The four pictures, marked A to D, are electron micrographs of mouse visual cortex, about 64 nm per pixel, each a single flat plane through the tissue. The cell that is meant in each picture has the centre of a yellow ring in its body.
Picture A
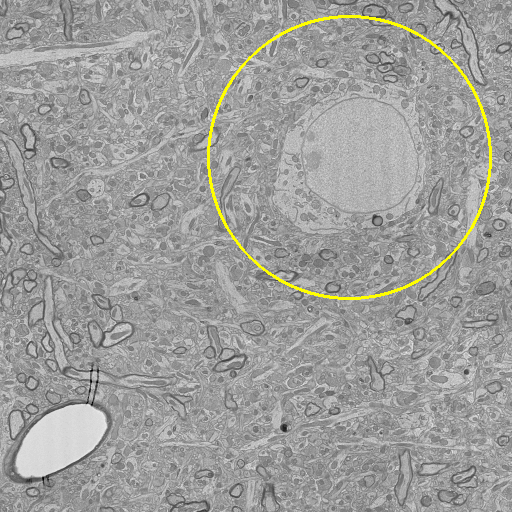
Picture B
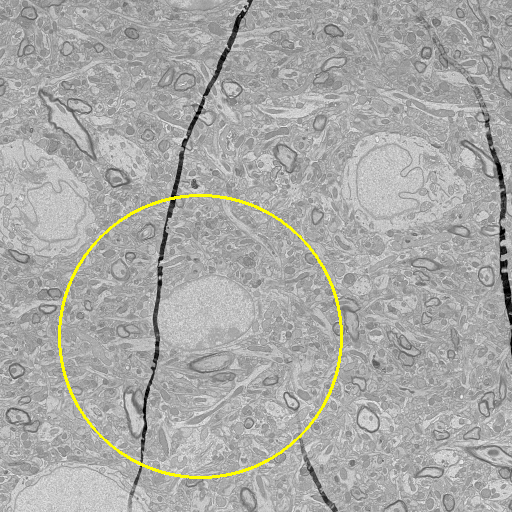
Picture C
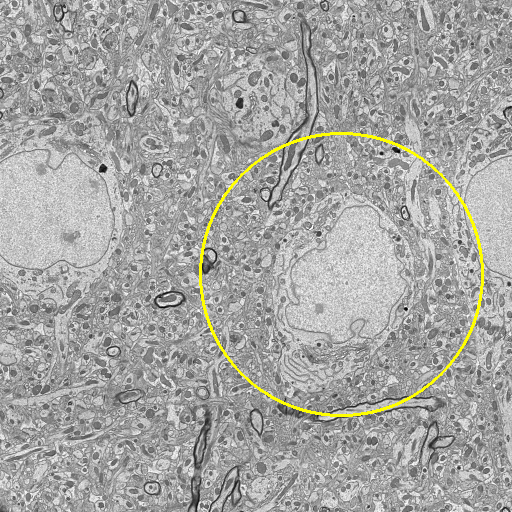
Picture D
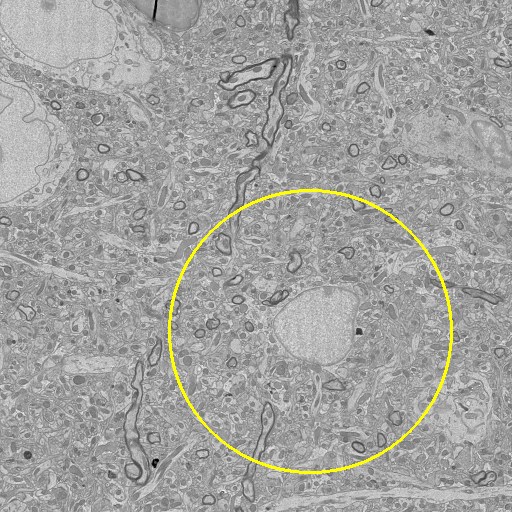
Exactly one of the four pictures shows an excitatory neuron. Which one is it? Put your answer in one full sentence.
Picture A is the one that shows the excitatory neuron.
